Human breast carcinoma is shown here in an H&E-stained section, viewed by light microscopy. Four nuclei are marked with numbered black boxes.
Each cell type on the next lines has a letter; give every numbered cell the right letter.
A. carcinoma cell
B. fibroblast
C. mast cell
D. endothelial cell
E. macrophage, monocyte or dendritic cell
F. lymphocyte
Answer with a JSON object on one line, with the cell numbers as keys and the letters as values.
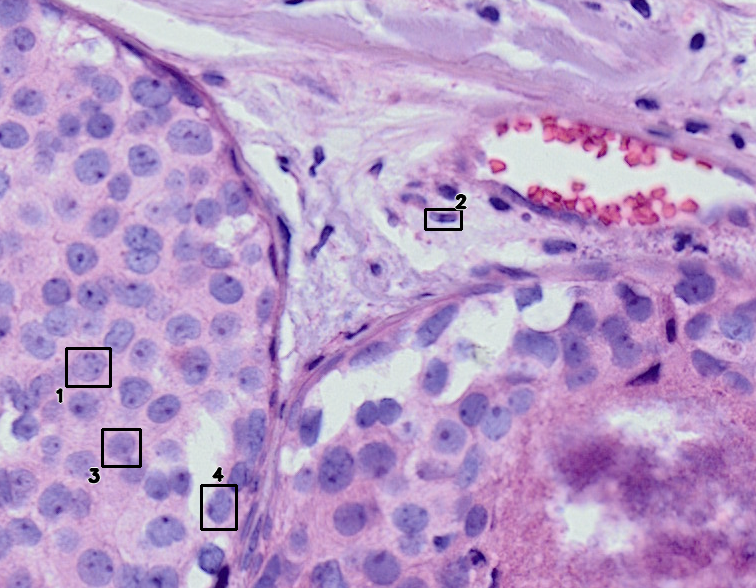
{"1": "A", "2": "F", "3": "A", "4": "A"}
